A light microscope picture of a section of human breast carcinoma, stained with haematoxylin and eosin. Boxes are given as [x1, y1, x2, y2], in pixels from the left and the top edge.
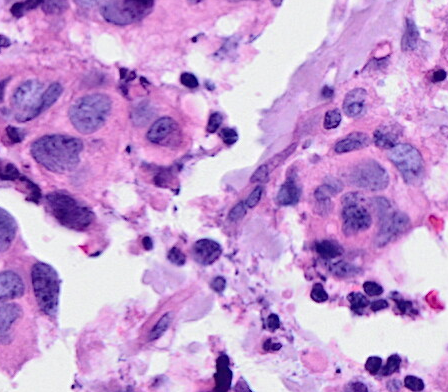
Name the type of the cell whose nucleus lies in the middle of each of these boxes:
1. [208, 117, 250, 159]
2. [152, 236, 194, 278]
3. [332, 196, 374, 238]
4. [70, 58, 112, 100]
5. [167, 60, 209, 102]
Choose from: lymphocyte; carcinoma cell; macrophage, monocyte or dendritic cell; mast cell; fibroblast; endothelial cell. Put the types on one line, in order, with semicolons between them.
lymphocyte; lymphocyte; carcinoma cell; carcinoma cell; lymphocyte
